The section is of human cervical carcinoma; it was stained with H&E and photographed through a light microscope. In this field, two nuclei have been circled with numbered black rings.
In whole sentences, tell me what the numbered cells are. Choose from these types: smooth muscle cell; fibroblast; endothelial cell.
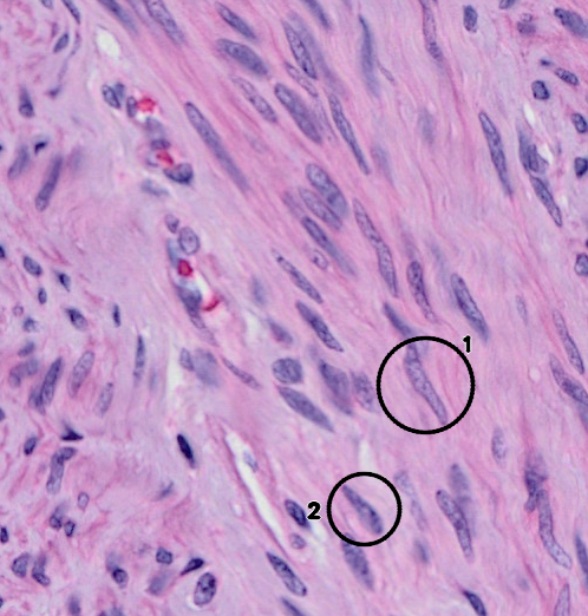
Cell 1 is a smooth muscle cell. Cell 2 is a fibroblast.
